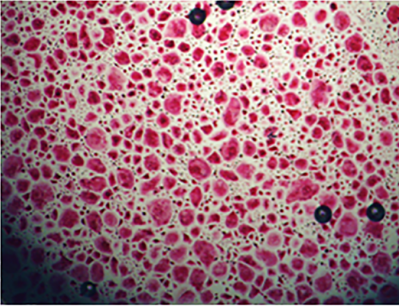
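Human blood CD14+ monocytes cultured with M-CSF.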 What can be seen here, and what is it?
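The cells are broad, flat and rounded to polygonal, ranging from moderate to very large, and fill most of the field. They are crowded together with only thin pale gaps between neighbours. Small dark dots, small unfused cells, are scattered in these gaps. A few round black objects lie over the field and are not cells.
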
